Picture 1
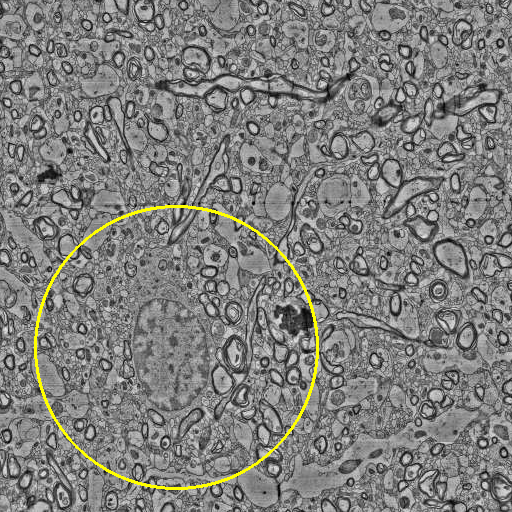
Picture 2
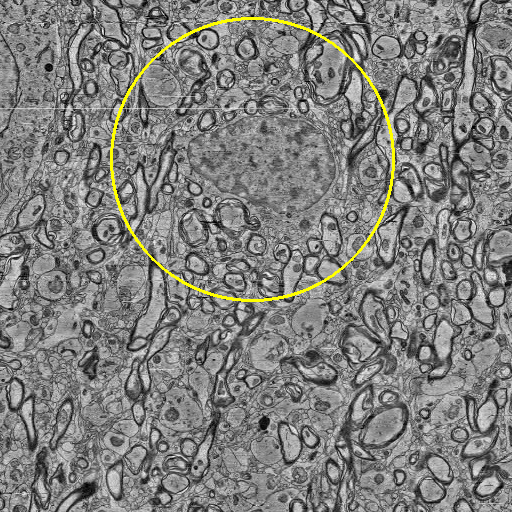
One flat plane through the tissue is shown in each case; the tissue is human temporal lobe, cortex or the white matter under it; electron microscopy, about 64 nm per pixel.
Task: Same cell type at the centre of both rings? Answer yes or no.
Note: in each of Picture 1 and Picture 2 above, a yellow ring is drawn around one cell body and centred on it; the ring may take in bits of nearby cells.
yes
